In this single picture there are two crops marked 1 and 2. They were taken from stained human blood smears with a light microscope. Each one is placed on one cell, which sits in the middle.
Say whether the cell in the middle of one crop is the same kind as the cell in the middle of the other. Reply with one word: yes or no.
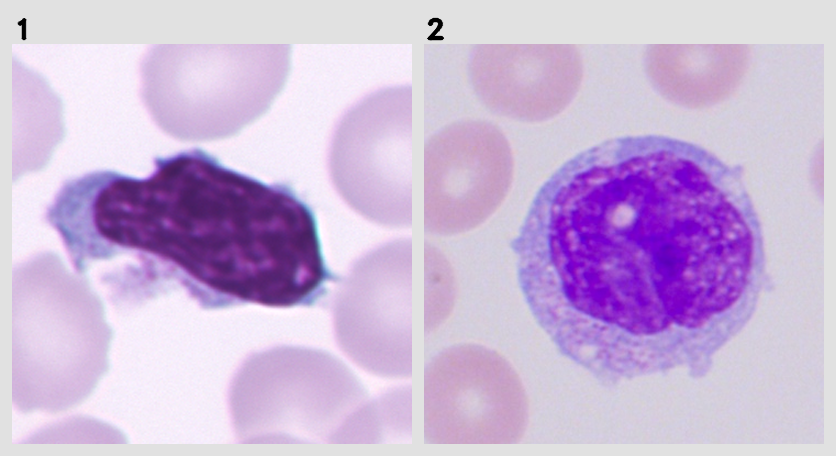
no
